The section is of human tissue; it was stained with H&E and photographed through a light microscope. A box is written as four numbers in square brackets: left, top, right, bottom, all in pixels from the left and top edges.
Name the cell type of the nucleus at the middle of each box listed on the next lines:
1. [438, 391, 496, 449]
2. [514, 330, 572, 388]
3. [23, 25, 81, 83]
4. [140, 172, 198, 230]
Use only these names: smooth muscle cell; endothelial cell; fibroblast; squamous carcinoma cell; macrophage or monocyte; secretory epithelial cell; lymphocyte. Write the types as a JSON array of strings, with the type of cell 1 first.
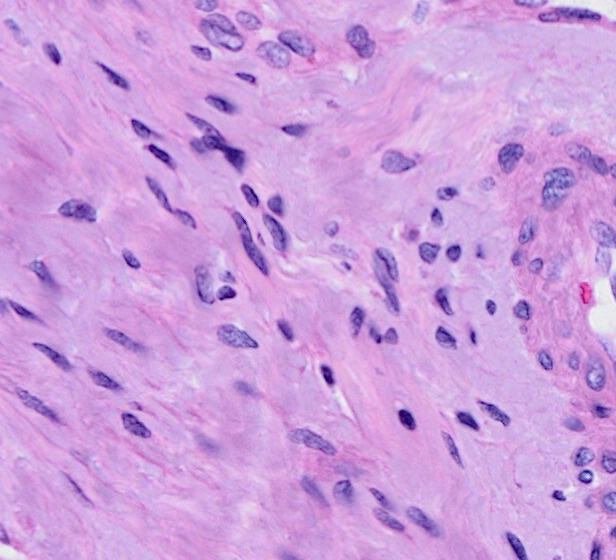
["fibroblast", "smooth muscle cell", "fibroblast", "fibroblast"]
